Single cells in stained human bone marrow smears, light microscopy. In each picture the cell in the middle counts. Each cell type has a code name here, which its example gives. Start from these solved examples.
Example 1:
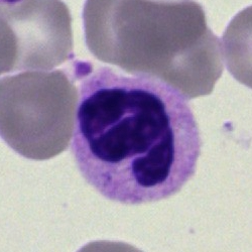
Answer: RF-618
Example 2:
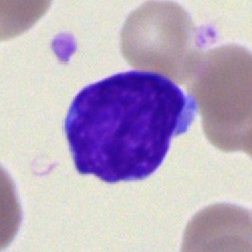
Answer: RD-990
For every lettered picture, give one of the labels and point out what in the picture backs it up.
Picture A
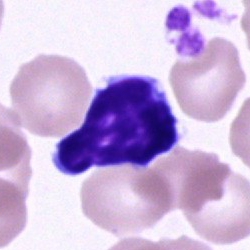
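Label: RD-990. Cytoplasm shows only as a very thin rim at the edges of the cell.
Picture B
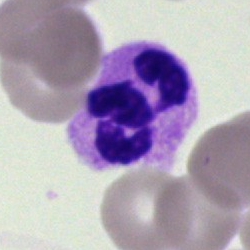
Label: RF-618. The cytoplasm is plentiful and pale lilac.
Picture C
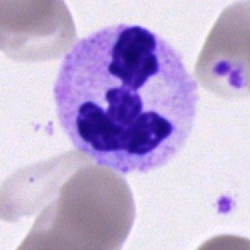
Label: RF-618. The cytoplasm is plentiful and pale lilac.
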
